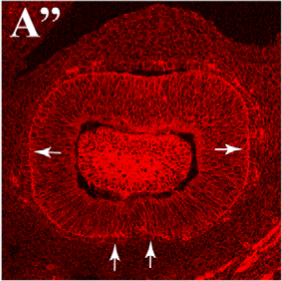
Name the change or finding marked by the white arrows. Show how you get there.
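The arrows point to a bright red line along the outer border of the thick curved epithelial layer. The red is concentrated at this border rather than spread evenly through the layer.
Answer: apical accumulation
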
